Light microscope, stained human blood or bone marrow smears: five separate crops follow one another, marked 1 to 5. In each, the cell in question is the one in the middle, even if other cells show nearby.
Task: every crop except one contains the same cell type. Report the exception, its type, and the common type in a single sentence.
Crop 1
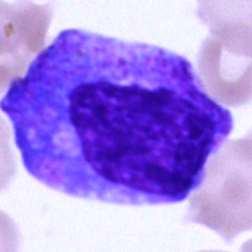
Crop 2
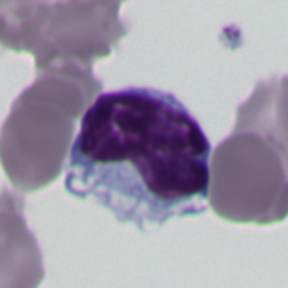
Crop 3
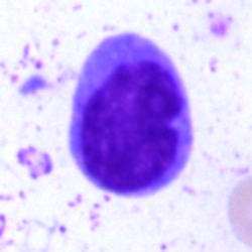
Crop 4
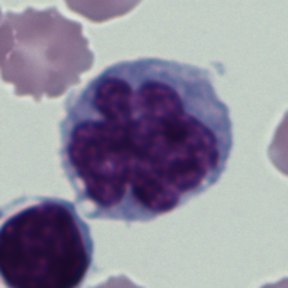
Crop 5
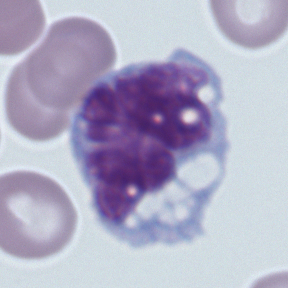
Crop 1 is the only crop with a promyelocyte, the others all showing monocytes.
